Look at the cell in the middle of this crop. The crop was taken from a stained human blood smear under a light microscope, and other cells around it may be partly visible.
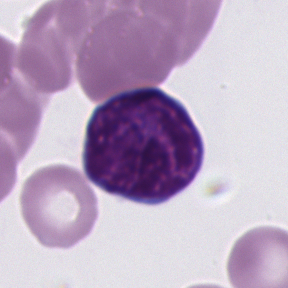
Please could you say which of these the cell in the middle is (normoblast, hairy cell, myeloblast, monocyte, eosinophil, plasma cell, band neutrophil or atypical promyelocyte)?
myeloblast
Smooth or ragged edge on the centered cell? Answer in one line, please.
You can see a smooth boundary, with no projections sticking out.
